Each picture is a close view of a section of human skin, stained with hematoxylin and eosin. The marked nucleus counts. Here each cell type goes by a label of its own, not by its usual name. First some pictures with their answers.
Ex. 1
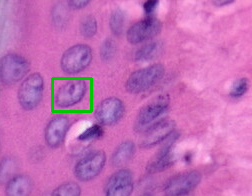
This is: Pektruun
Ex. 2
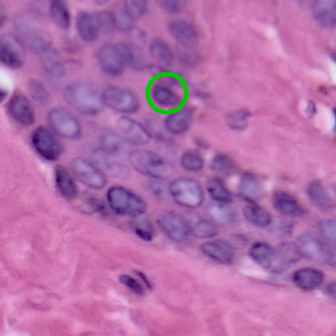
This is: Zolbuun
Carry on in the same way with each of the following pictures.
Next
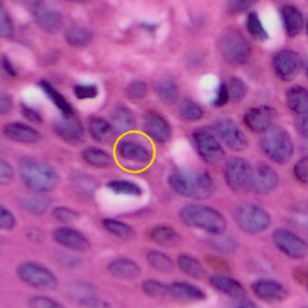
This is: Zolbuun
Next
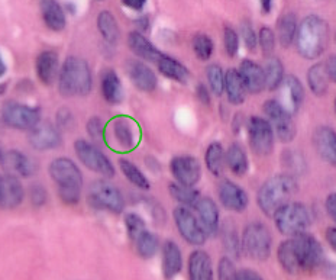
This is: Zolbuun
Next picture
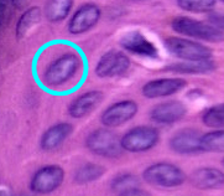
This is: Pektruun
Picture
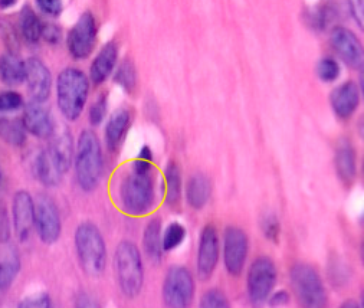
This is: Zolbuun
